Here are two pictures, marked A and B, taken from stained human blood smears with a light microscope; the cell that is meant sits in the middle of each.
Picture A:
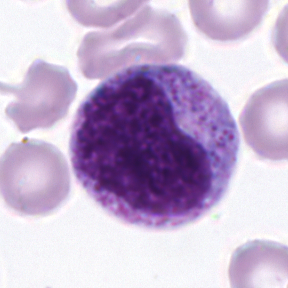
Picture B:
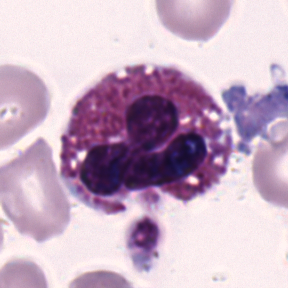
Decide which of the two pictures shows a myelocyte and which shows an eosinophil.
A: myelocyte
B: eosinophil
